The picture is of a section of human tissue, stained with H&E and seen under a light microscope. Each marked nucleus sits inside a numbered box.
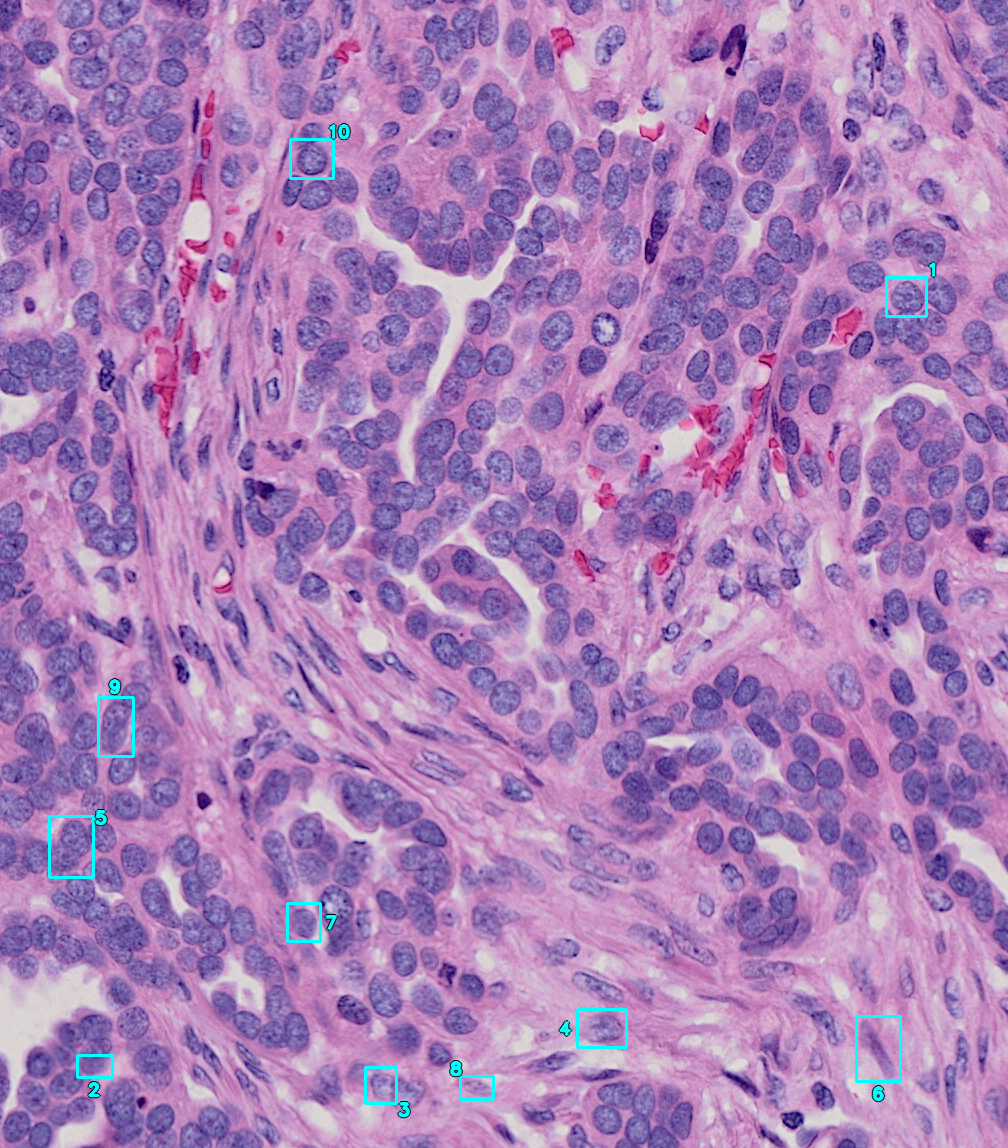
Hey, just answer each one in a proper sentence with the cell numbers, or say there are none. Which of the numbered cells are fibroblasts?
The cells that have numbers 3, 4, 6 and 8 are fibroblasts.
